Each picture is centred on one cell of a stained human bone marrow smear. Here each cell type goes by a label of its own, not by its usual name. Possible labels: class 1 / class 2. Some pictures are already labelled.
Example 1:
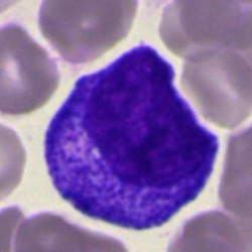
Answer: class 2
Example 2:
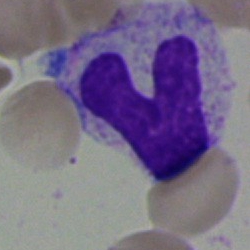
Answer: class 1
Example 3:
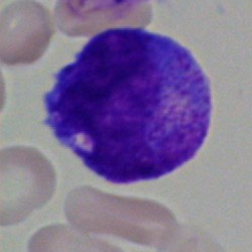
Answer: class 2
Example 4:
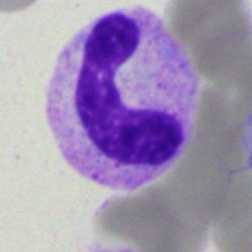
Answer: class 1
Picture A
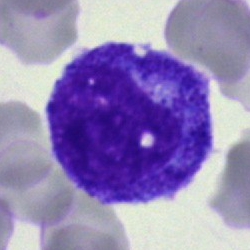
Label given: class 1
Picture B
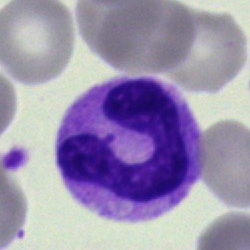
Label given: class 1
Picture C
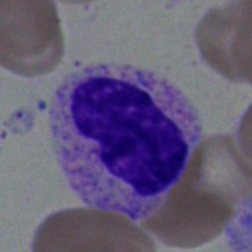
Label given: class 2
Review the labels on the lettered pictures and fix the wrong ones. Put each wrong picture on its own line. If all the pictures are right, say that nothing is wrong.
A: class 2, not class 1
C: class 1, not class 2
